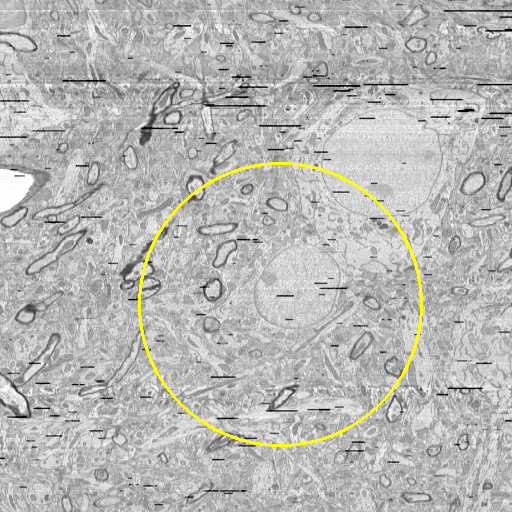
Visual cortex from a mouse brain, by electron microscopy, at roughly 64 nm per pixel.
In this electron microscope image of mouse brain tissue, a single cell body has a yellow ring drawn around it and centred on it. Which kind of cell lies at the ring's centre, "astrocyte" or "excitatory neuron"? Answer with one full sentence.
It is an astrocyte whose cell body lies at the centre of the yellow ring here.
